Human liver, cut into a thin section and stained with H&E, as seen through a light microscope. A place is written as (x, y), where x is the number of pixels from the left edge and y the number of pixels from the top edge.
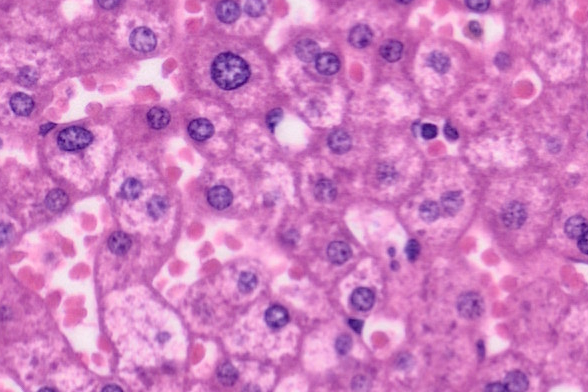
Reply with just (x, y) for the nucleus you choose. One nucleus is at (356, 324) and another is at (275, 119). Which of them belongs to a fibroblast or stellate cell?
(356, 324)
